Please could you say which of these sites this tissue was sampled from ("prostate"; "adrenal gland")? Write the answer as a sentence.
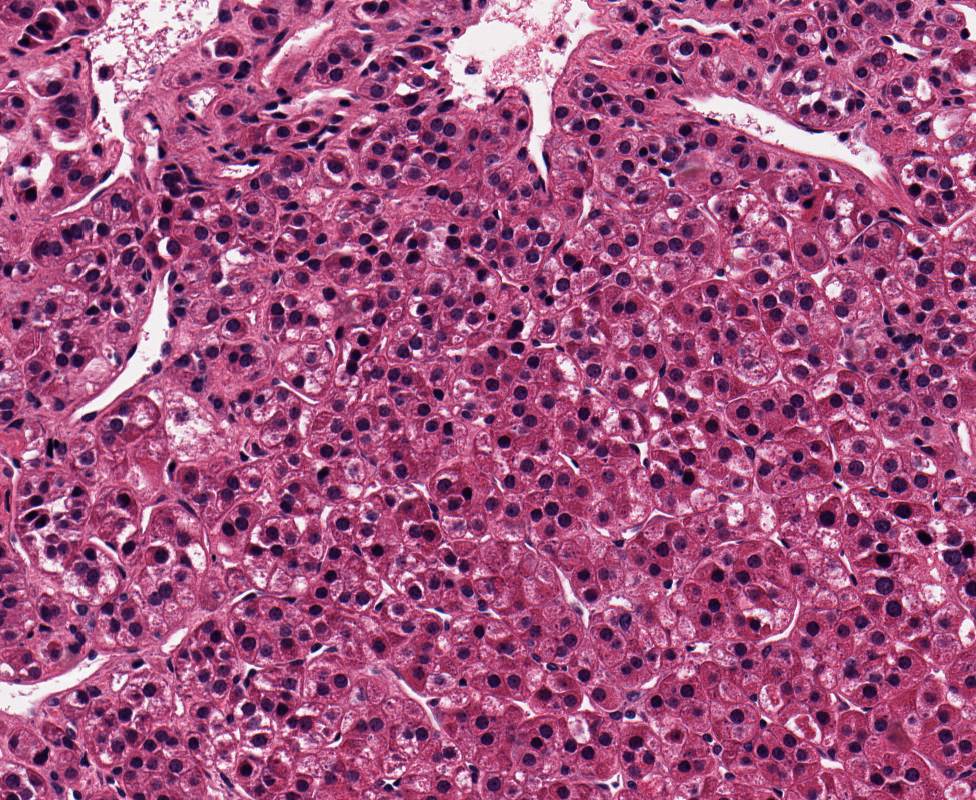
The site this tissue was sampled from is the adrenal gland.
